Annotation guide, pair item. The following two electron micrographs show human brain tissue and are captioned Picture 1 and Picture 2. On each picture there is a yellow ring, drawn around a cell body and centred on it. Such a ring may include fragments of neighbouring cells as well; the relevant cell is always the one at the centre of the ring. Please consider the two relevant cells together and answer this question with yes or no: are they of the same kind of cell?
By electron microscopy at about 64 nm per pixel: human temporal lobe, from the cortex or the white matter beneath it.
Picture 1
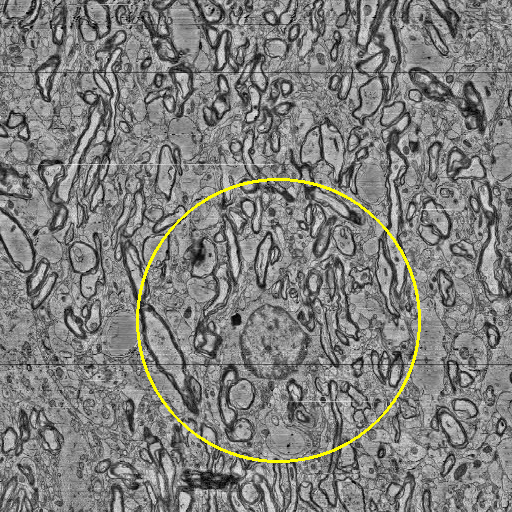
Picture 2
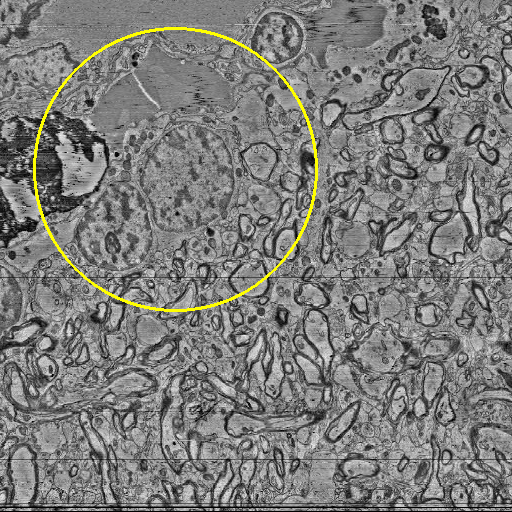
yes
